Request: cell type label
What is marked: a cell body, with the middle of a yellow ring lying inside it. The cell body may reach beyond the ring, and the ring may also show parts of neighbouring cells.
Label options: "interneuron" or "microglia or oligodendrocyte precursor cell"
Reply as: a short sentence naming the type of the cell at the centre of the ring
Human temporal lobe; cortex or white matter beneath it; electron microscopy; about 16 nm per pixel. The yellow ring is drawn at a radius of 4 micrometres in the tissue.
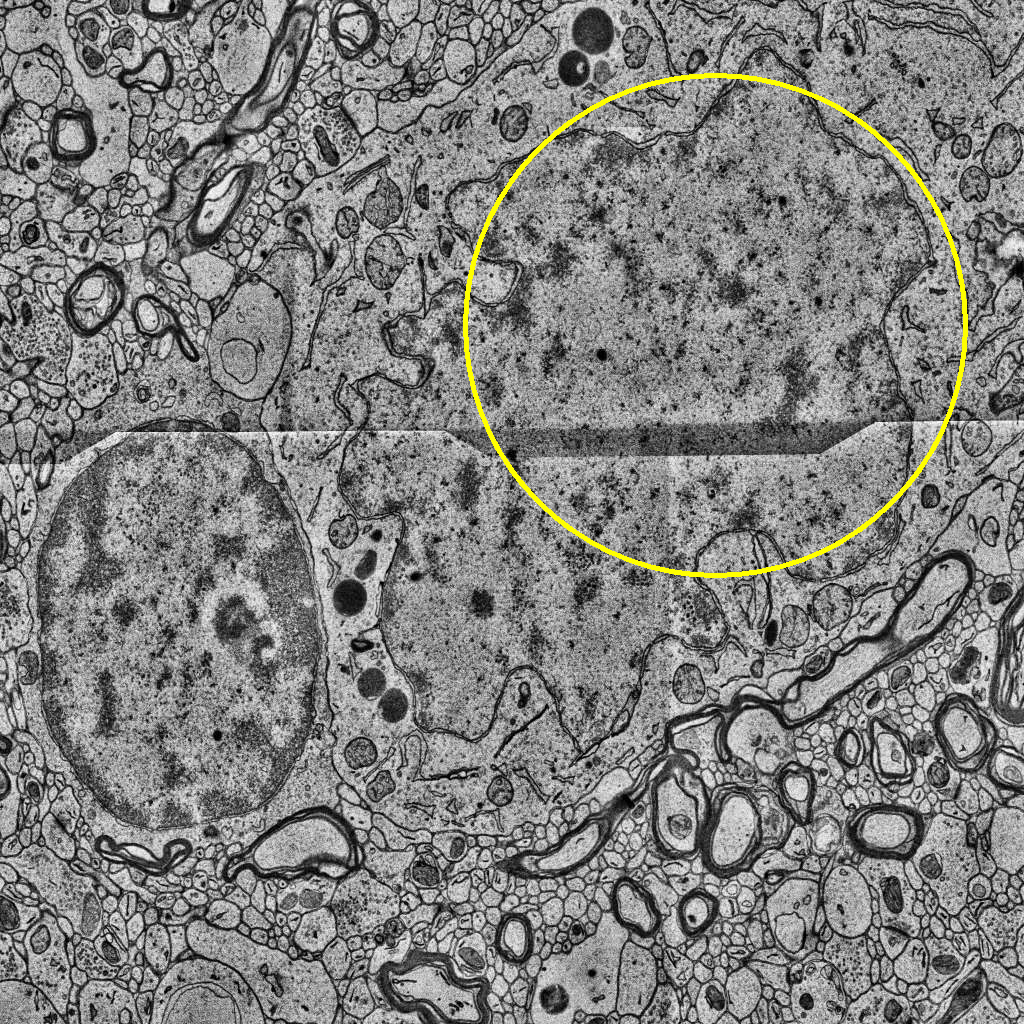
The marked cell body is that of an interneuron.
